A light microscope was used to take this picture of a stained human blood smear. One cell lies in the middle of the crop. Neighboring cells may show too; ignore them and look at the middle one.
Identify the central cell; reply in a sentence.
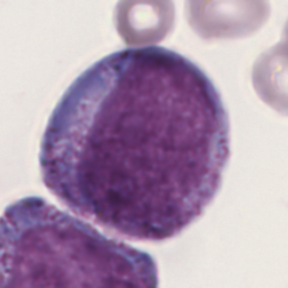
The middle of this crop holds a promyelocyte.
